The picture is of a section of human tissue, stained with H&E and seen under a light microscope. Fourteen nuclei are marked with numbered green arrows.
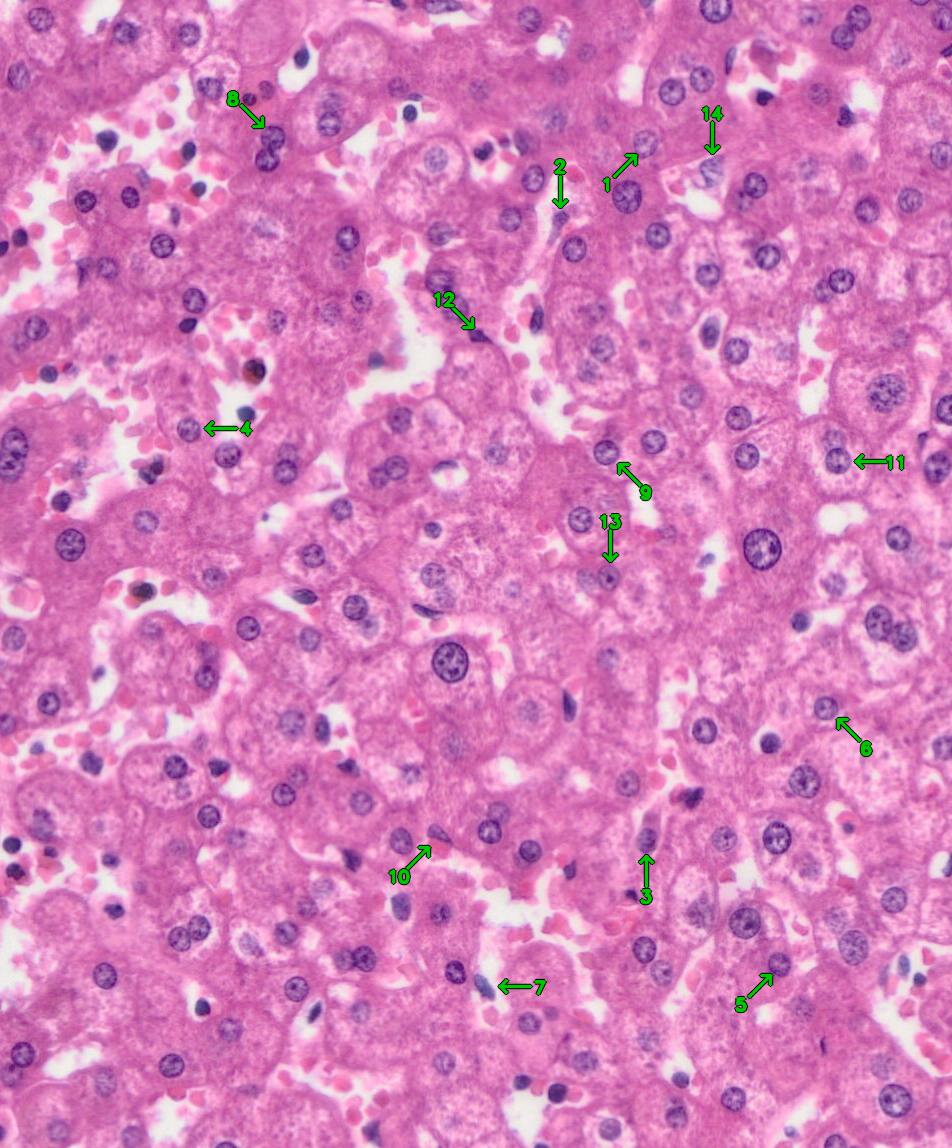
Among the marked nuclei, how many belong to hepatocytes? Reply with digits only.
8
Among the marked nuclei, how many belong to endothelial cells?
1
